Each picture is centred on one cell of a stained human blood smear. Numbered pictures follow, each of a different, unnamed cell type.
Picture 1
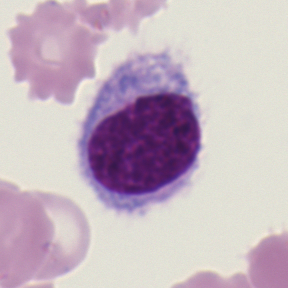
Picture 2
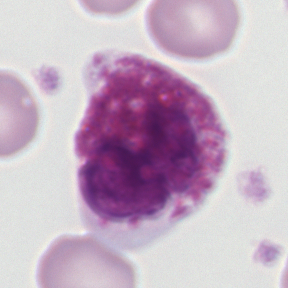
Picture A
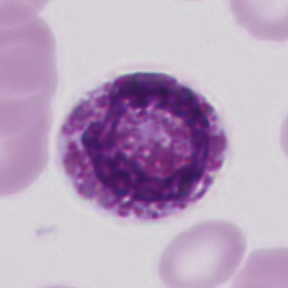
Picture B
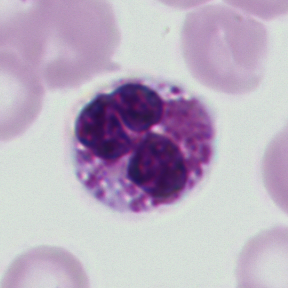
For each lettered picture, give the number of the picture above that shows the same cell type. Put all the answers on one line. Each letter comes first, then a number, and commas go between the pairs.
A 2, B 2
